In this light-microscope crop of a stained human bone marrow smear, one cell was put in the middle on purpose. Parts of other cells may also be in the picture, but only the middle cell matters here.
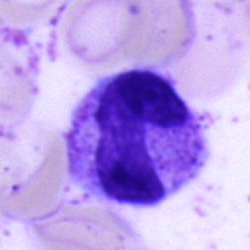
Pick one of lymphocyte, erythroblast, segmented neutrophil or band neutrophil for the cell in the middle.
band neutrophil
